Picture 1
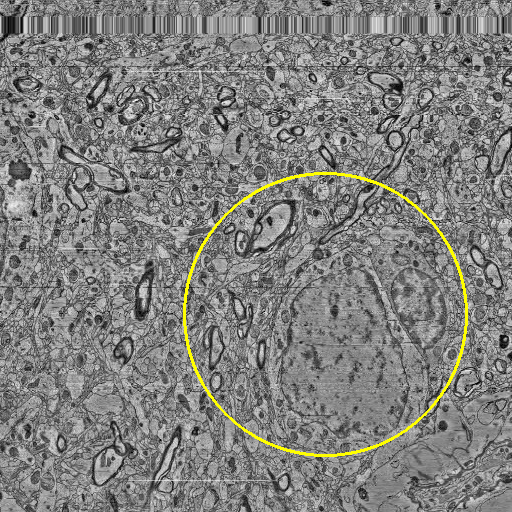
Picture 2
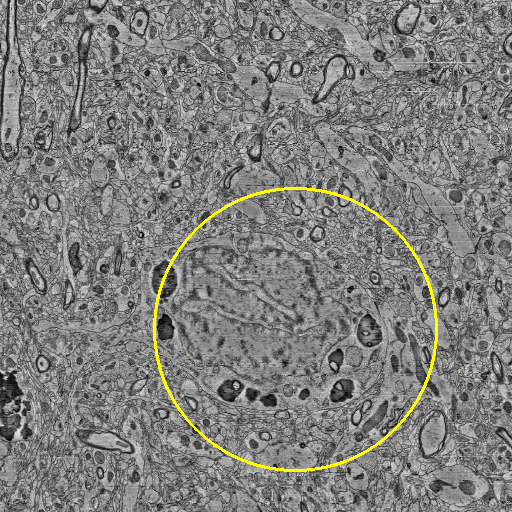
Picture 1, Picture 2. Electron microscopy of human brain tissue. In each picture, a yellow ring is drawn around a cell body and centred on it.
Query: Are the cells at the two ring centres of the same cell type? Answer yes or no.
yes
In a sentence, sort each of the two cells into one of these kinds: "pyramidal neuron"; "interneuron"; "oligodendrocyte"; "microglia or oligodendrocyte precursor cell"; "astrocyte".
The cell in the first picture is an interneuron, and so is the one in the second.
